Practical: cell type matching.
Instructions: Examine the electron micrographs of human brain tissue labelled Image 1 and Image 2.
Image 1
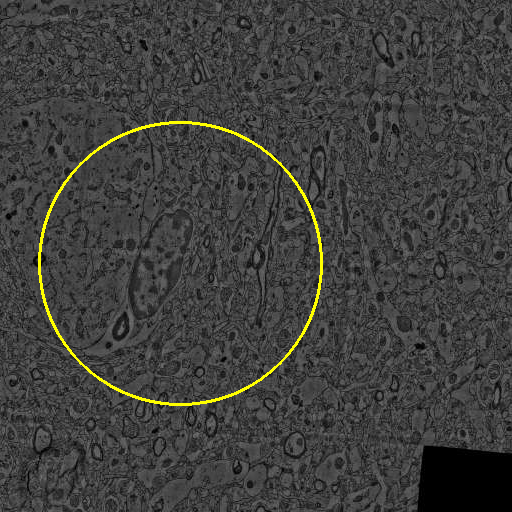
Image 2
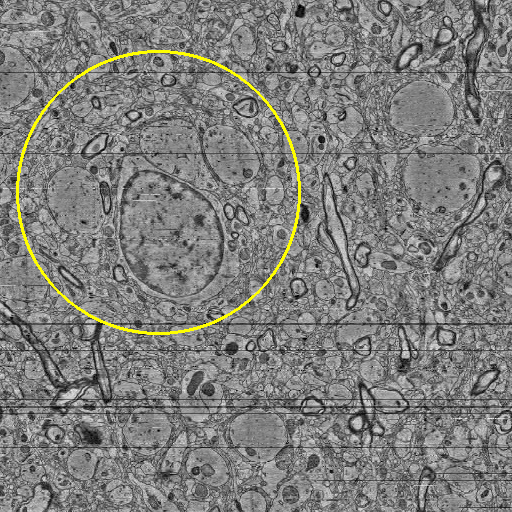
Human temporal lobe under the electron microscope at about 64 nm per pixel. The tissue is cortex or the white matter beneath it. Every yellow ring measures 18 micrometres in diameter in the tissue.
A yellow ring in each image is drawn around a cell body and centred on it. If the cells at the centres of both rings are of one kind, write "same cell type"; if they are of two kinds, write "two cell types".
same cell type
